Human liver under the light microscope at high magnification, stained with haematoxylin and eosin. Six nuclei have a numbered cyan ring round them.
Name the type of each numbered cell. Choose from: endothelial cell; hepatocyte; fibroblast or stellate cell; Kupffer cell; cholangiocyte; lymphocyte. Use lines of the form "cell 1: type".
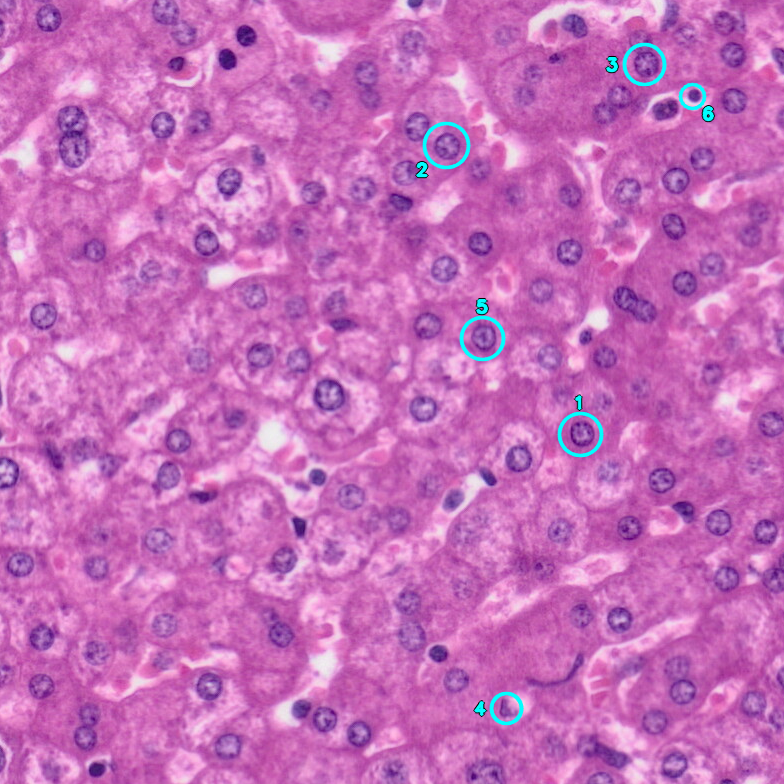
cell 1: hepatocyte
cell 2: hepatocyte
cell 3: hepatocyte
cell 4: endothelial cell
cell 5: hepatocyte
cell 6: lymphocyte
